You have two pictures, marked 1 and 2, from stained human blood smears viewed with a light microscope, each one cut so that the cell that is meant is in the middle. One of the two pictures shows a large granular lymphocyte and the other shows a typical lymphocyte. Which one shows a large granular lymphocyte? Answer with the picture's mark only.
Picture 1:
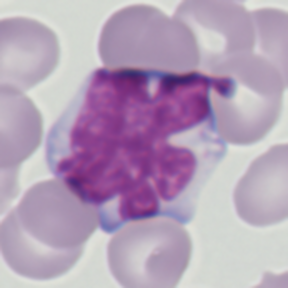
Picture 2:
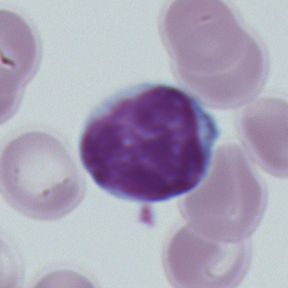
1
